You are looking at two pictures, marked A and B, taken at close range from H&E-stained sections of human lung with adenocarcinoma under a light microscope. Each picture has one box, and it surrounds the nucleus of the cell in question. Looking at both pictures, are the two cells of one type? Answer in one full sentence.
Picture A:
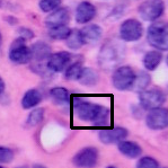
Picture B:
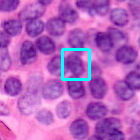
Yes, both cells are lymphocytes.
